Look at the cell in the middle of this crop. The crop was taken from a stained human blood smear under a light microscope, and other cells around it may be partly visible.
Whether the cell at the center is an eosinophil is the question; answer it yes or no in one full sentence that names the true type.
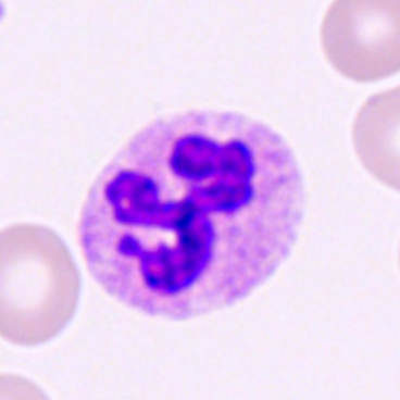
No, the central cell is counted as a segmented neutrophil instead of an eosinophil.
